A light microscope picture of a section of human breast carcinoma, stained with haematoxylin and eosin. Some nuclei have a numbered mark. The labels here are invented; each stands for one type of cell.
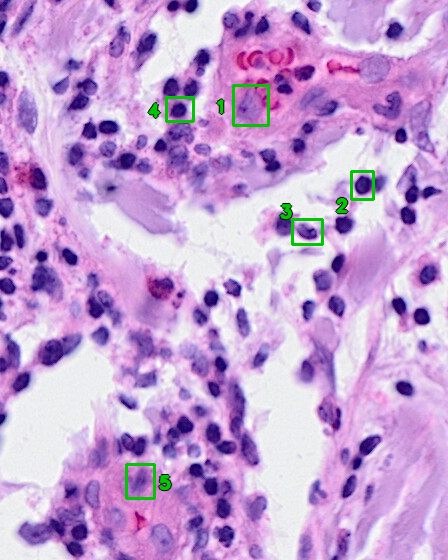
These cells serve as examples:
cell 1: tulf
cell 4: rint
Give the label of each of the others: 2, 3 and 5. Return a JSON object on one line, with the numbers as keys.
{"2": "rint", "3": "rint", "5": "tulf"}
